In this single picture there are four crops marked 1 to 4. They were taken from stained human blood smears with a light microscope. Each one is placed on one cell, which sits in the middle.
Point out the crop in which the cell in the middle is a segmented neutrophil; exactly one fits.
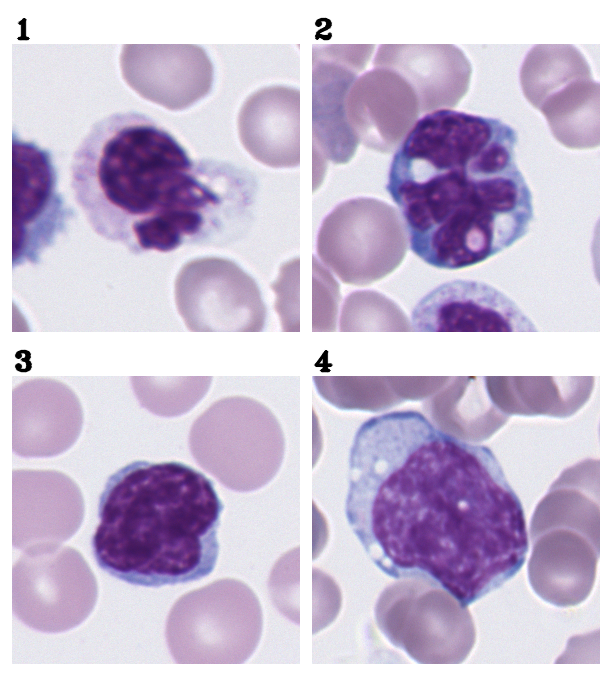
1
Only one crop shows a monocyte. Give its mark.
2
